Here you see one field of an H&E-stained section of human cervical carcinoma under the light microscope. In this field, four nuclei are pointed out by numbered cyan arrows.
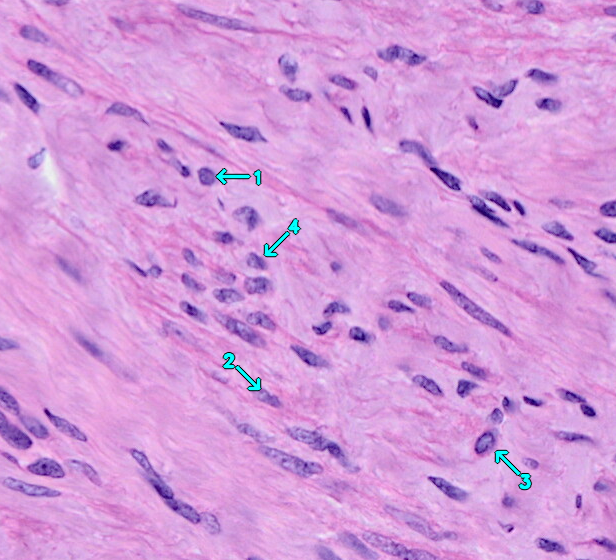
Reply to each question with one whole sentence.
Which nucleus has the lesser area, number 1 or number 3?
Number 1 is smaller, since number 3 takes up about 1.5 times as much area.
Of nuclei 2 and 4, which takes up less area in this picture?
The smaller nucleus is 4, and 2 covers roughly 1.5 times its area.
